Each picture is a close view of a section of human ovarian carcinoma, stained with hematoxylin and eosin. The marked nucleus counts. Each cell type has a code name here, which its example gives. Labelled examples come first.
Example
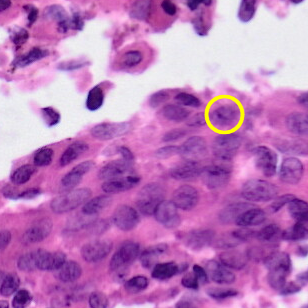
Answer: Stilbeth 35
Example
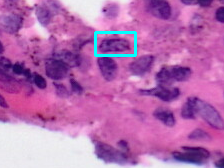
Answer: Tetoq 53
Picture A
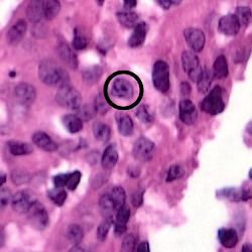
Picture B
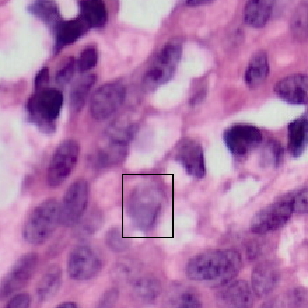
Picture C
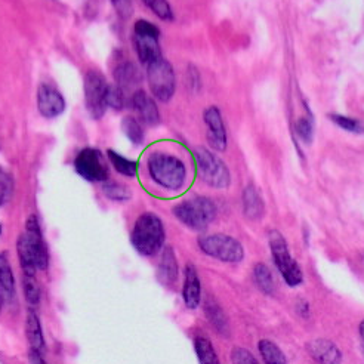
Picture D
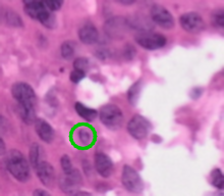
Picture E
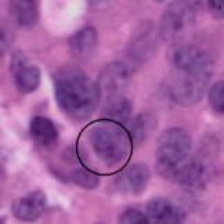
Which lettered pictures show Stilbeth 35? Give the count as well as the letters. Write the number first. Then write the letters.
2: B, E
